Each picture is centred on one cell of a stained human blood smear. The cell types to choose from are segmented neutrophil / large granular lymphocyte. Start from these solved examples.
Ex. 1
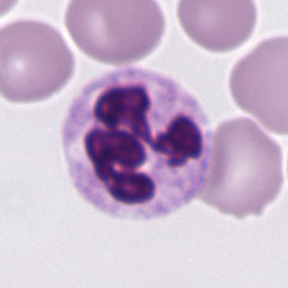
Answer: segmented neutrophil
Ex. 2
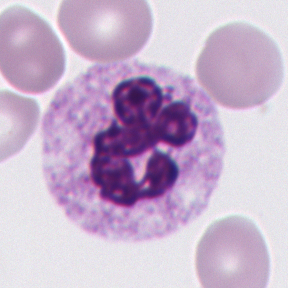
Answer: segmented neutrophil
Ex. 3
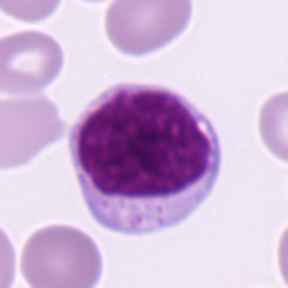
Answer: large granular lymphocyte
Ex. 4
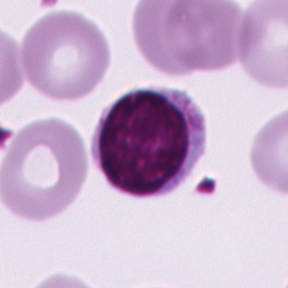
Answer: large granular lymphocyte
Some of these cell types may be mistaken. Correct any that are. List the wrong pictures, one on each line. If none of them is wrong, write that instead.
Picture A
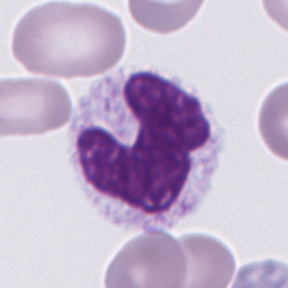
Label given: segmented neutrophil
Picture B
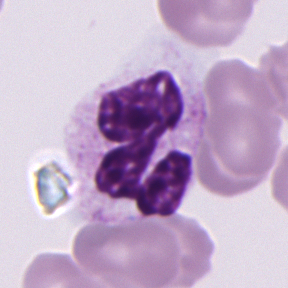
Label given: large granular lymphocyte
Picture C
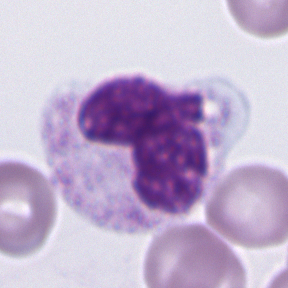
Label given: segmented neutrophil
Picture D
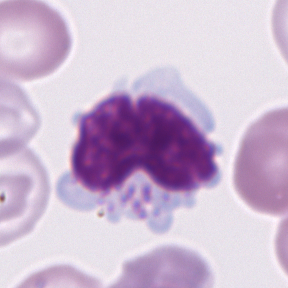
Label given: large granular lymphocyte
B: not large granular lymphocyte but segmented neutrophil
